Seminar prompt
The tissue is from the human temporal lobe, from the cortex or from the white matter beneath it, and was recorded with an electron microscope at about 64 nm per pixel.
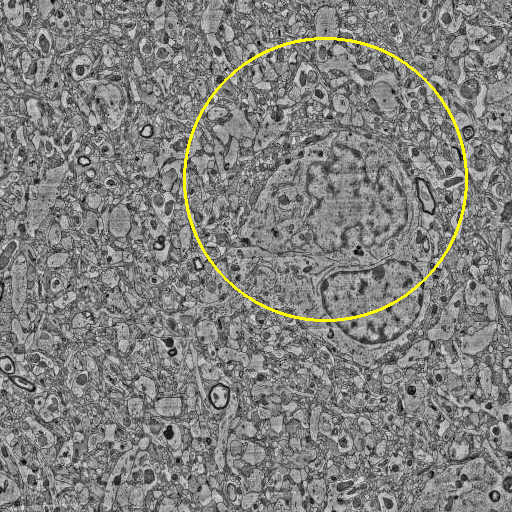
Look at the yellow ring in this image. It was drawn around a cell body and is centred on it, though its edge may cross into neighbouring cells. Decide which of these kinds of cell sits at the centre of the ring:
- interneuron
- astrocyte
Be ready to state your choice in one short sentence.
The kind of cell at the ring's centre is an interneuron.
